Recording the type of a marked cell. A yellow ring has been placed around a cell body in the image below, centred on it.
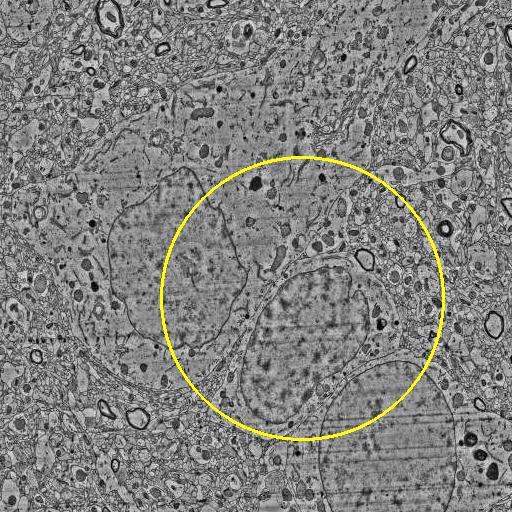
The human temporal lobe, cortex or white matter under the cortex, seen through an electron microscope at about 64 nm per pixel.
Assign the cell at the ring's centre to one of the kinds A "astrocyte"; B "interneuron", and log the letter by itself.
B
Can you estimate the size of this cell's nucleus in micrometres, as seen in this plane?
The ringed cell's nucleus is about 11 micrometres long and 7 micrometres wide in this plane.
